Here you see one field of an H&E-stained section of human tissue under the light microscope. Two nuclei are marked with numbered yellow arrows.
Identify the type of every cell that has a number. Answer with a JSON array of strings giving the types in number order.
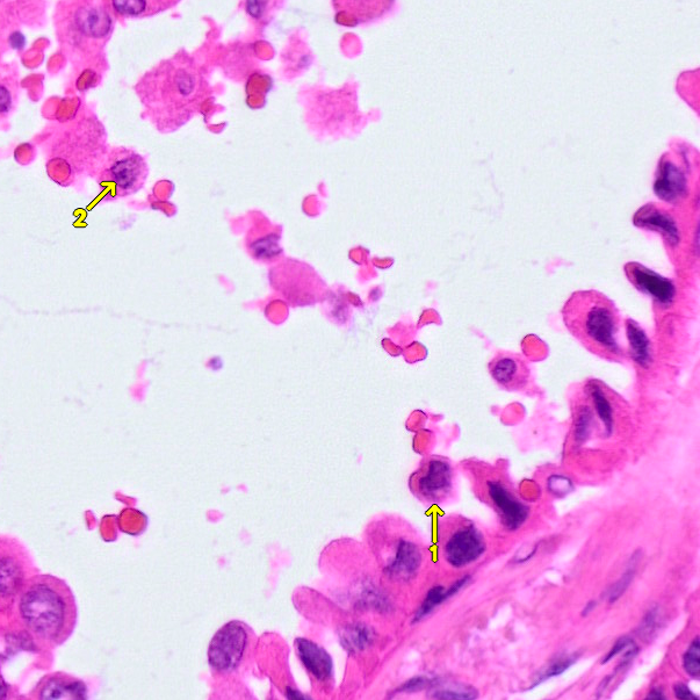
["carcinoma cell", "macrophage or monocyte"]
